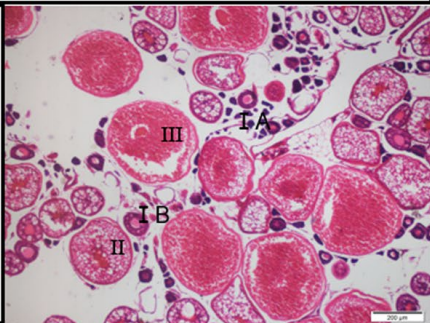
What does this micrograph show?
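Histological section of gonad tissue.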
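Section of fish ovary showing oocytes at several stages of growth side by side. The smallest, primary growth oocytes are rounded, with purple-staining cytoplasm and a central nucleus, and lie clustered between larger cells. Mid-sized cortical alveolus stage oocytes show clear vacuoles in a paler cytoplasm. The largest, vitellogenic oocytes are round to polygonal and filled with pink granular yolk, each bounded by a thin rim.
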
